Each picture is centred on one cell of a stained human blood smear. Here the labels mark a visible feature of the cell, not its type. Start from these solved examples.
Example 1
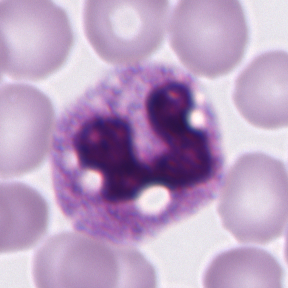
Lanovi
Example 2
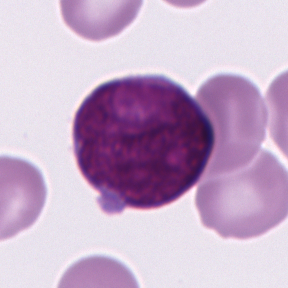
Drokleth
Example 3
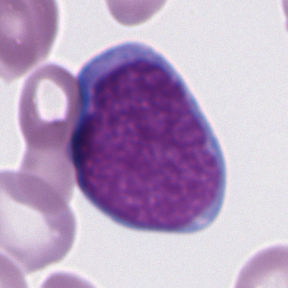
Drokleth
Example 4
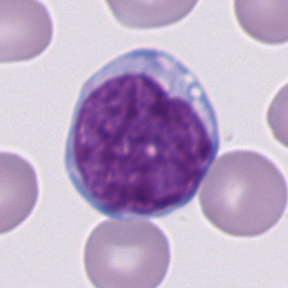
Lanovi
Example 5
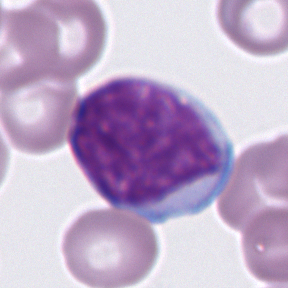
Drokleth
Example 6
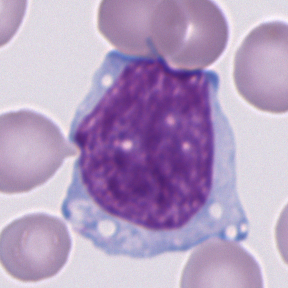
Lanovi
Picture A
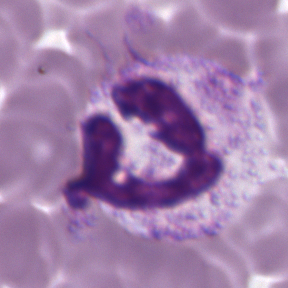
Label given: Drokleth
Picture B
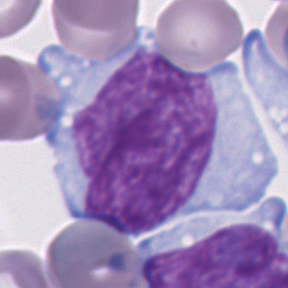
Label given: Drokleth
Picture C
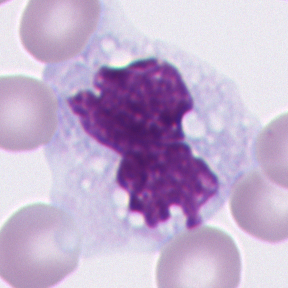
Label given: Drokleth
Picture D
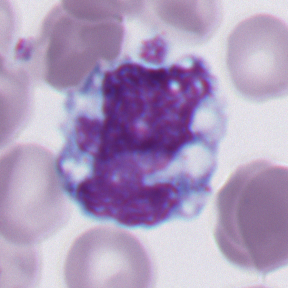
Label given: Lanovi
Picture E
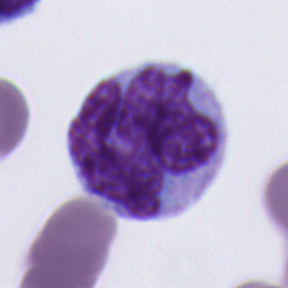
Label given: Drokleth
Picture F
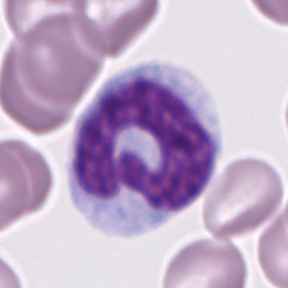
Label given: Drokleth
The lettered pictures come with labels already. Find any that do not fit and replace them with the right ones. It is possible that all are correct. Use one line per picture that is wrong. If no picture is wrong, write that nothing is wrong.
B should be Lanovi, not Drokleth
C should be Lanovi, not Drokleth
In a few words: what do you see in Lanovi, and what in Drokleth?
In Lanovi: vacuoles present. In Drokleth: no vacuoles.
